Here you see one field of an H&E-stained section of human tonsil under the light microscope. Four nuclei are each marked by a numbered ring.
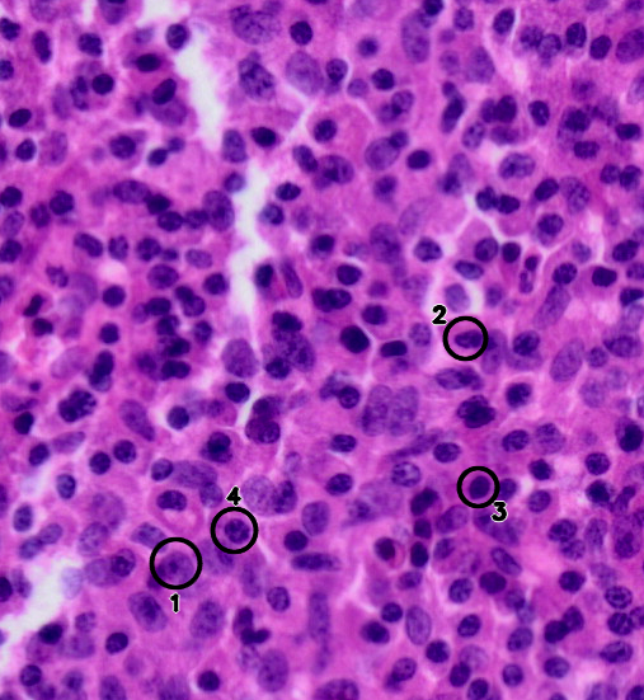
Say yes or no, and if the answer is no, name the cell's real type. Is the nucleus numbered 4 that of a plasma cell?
Yes.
